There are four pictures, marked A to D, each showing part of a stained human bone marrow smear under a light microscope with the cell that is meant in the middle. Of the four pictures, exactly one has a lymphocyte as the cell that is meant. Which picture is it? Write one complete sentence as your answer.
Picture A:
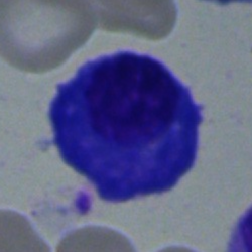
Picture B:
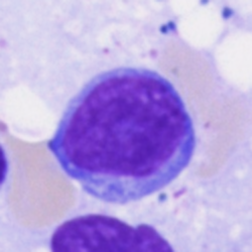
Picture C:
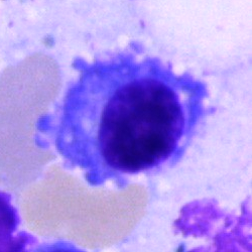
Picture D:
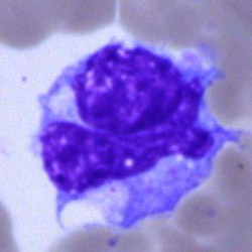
The lymphocyte is the one in picture B.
